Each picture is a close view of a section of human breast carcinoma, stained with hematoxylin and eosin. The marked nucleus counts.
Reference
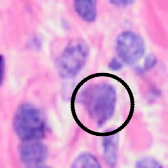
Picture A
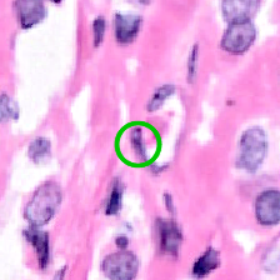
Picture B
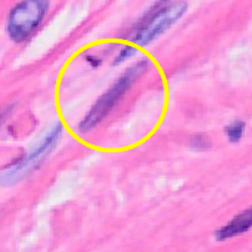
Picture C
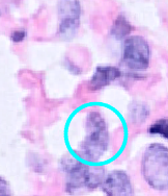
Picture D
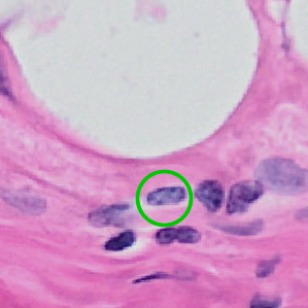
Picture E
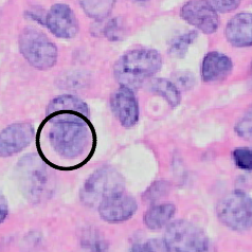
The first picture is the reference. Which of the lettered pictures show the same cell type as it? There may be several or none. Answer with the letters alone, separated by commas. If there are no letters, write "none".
C, E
